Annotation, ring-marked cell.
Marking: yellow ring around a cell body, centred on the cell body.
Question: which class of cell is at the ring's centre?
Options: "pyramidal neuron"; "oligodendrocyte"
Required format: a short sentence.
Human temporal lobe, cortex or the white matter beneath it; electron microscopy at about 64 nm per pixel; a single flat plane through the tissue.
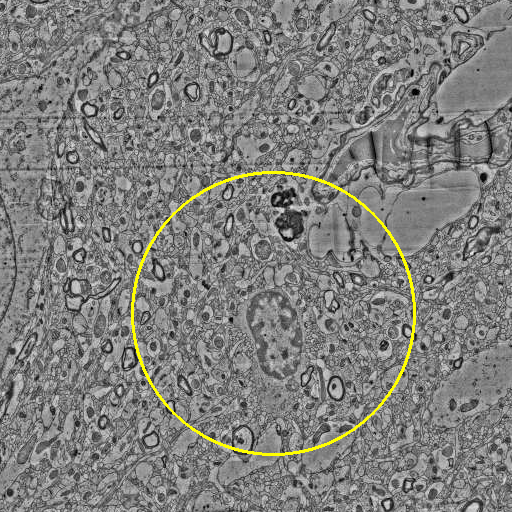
At the ring's centre is an oligodendrocyte.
